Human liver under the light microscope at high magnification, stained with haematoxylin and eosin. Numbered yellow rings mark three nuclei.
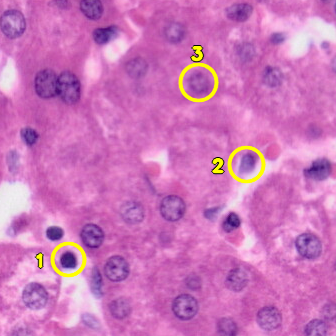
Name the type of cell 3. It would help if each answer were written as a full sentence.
The one labeled 3 is a hepatocyte, to put it simply.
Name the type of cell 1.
The cell bearing label 1 corresponds to a lymphocyte.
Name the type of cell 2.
In the tissue shown, cell 2 is a Kupffer cell.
